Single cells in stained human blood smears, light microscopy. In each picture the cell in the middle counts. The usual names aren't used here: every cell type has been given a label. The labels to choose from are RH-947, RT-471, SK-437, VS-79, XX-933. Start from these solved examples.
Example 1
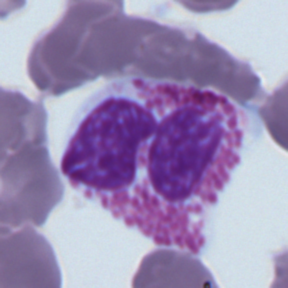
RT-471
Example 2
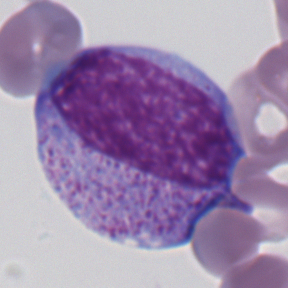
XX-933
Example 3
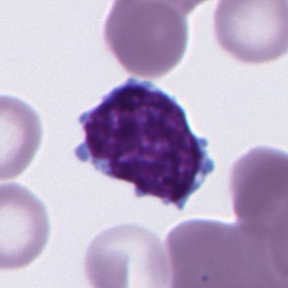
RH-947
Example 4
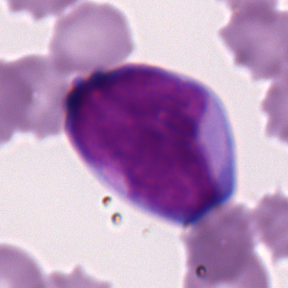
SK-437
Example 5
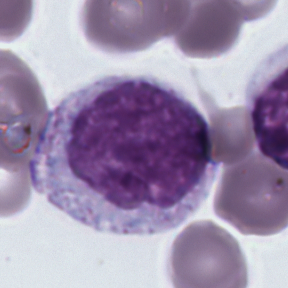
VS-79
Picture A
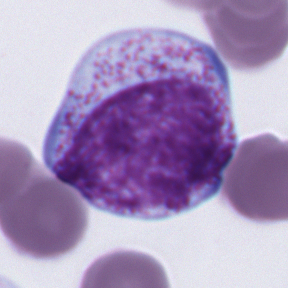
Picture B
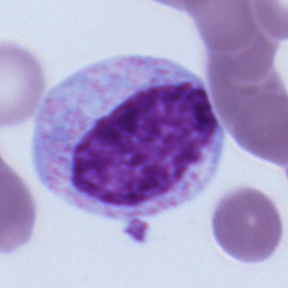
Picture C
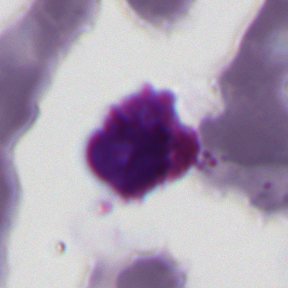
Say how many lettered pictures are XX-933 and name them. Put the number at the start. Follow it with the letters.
0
